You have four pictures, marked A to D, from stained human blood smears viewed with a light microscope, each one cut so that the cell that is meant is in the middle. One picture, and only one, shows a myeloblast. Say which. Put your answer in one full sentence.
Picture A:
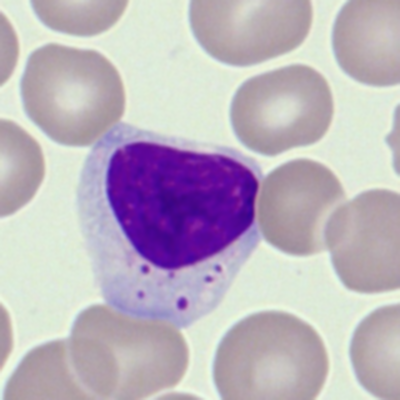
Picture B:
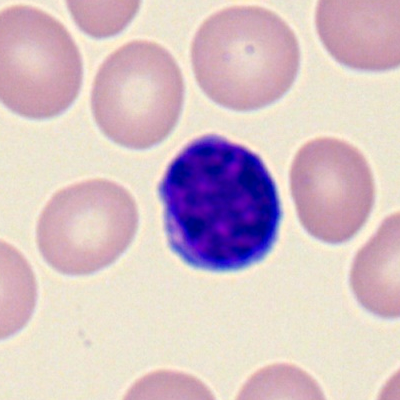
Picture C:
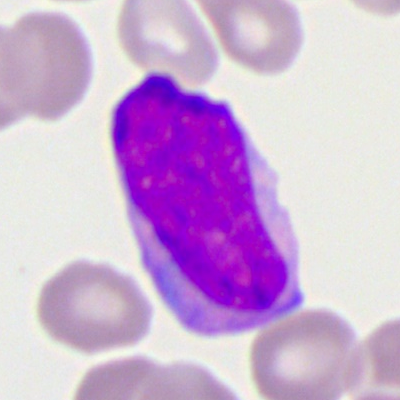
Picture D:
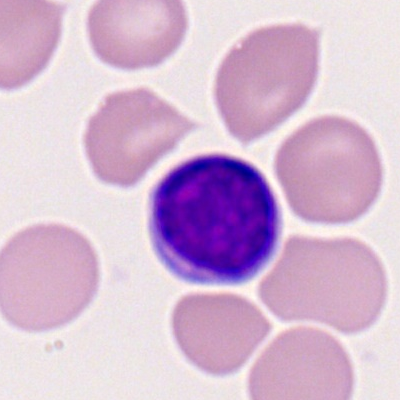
The picture with the myeloblast is C.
